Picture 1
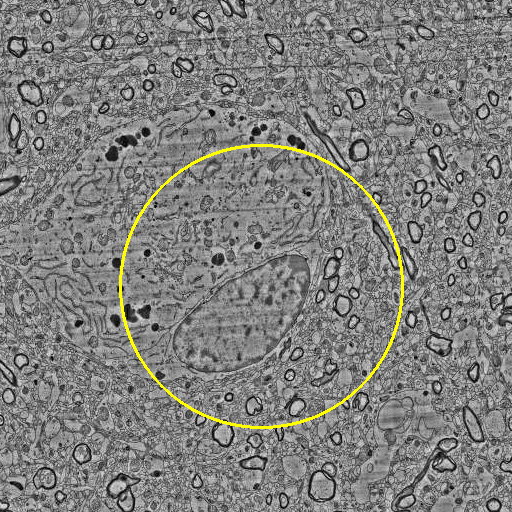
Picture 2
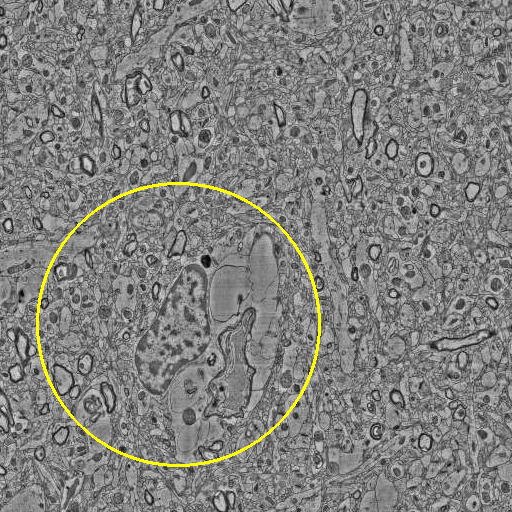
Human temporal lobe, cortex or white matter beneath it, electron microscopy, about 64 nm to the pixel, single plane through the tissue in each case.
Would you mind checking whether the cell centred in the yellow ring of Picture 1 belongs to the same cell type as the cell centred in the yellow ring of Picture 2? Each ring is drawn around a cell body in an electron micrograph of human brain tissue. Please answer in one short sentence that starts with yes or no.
Yes, both cells are of the same type.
